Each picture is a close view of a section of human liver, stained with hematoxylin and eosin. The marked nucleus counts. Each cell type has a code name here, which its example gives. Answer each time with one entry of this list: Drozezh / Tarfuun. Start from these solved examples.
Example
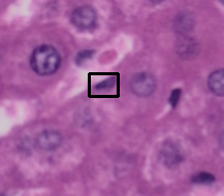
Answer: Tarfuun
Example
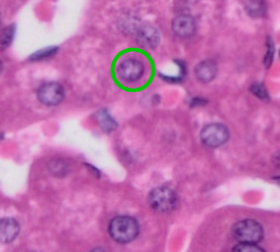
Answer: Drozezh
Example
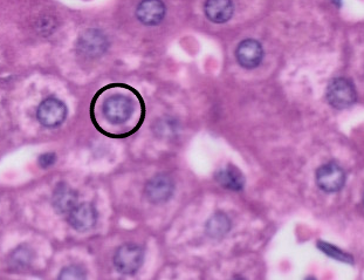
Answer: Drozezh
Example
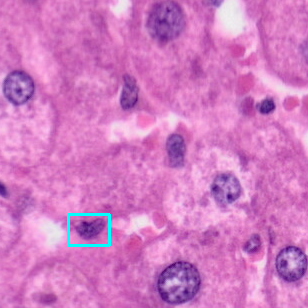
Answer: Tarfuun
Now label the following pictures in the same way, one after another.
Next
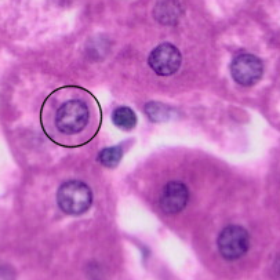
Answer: Drozezh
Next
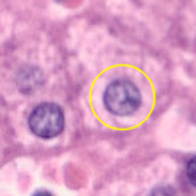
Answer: Drozezh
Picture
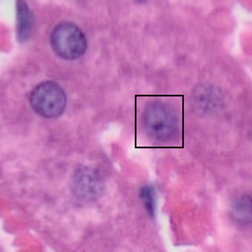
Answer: Drozezh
